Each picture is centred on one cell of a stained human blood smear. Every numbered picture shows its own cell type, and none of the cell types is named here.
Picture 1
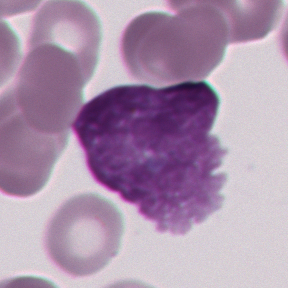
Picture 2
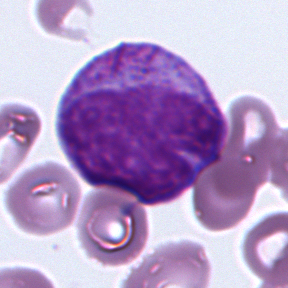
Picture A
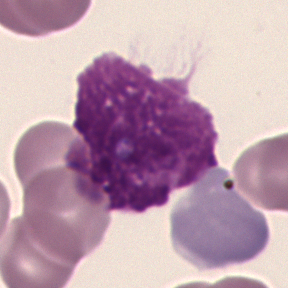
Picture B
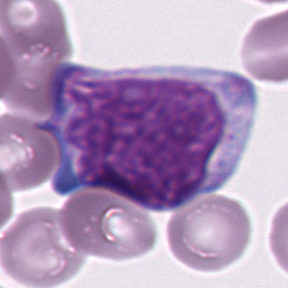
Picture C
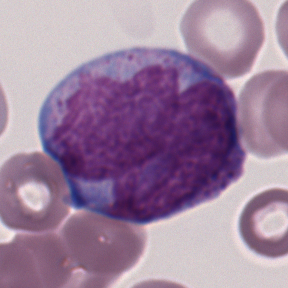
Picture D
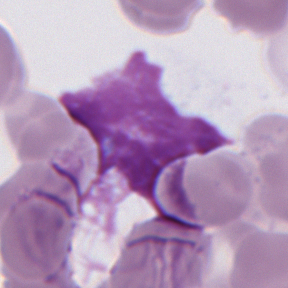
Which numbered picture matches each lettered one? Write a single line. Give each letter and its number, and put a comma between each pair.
A 1, B 2, C 2, D 1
